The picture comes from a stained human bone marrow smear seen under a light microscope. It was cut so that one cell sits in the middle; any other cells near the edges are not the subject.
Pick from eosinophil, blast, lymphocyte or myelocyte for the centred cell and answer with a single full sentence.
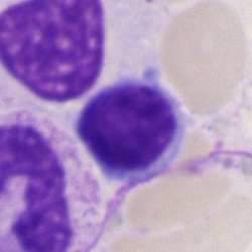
The cell in the middle of this crop is a lymphocyte.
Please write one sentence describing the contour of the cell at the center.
Its outline is ragged or drawn out into projections, not smooth.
